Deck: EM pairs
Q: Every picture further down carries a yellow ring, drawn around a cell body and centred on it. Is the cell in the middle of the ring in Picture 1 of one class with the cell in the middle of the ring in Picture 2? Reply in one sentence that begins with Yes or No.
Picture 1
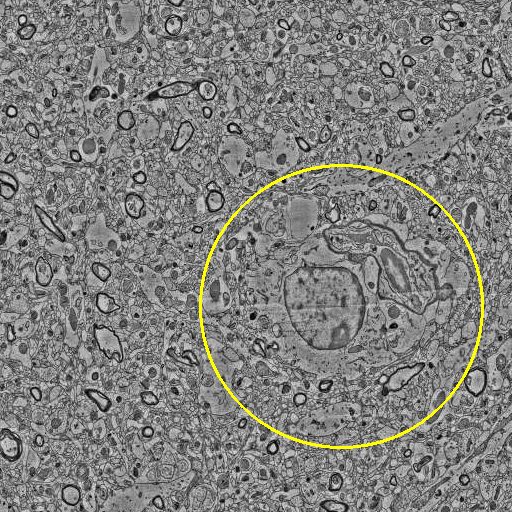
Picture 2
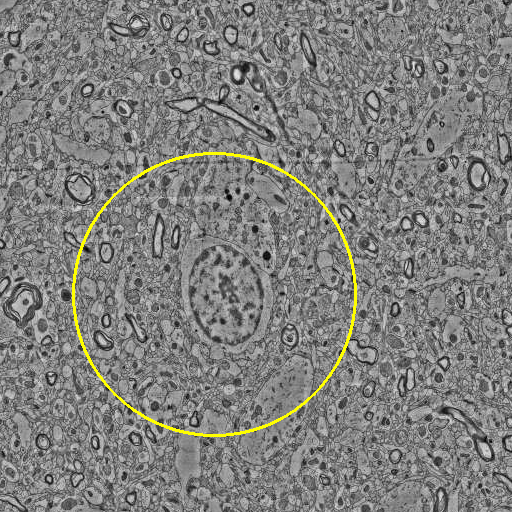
Yes, the cell centred in the ring of Picture 1 and the one in Picture 2 belong to one class.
